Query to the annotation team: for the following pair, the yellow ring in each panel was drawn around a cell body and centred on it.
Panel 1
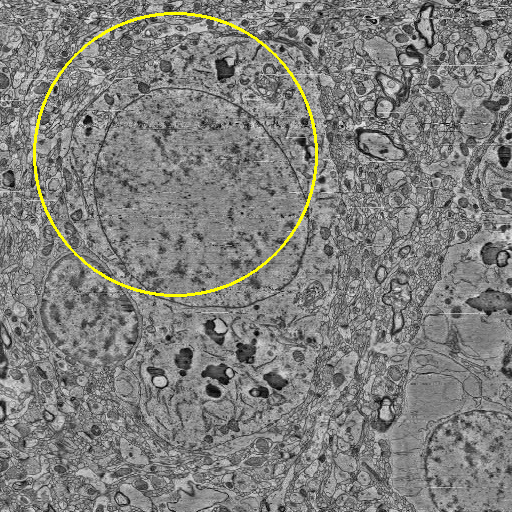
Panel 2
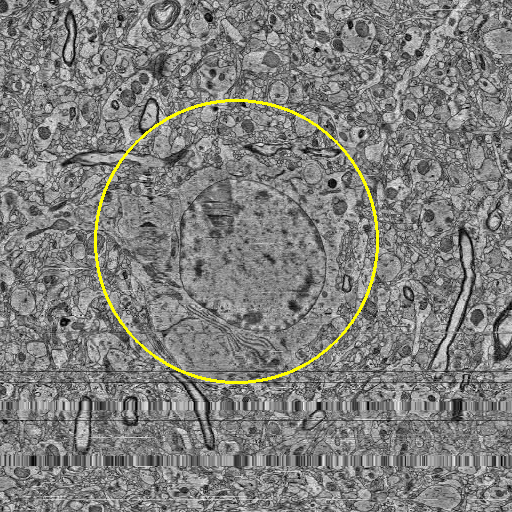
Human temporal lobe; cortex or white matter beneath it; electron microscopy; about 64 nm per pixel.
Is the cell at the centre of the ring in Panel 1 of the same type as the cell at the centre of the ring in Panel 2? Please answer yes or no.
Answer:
no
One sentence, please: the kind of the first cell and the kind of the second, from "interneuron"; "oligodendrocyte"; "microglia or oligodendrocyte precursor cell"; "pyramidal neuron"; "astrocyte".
The ring in the first picture surrounds a pyramidal neuron, and the ring in the second surrounds an astrocyte.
